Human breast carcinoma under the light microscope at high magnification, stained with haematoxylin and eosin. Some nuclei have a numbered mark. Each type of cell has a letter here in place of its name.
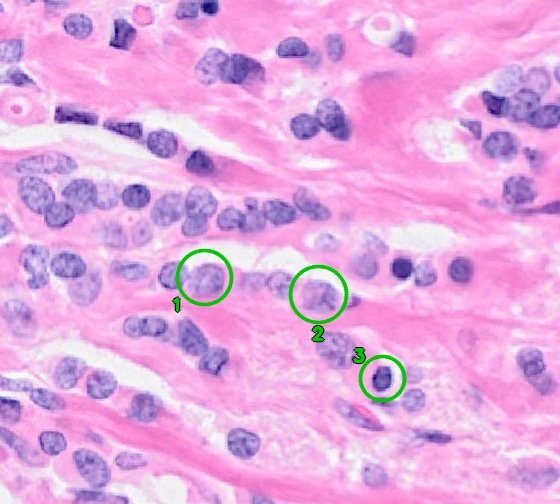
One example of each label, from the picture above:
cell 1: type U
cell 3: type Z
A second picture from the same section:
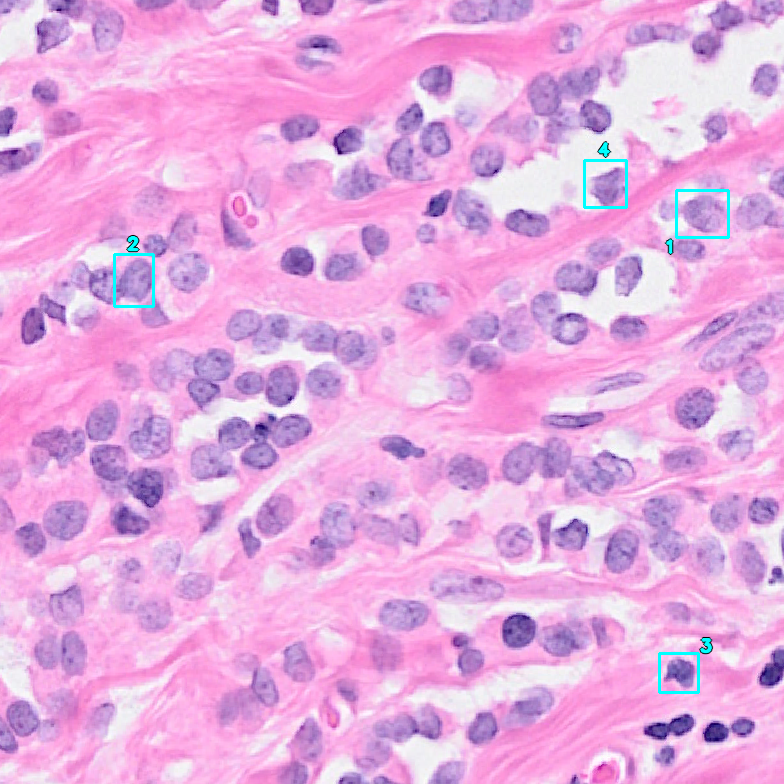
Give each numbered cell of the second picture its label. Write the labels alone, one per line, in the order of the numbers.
type U
type U
type Z
type U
